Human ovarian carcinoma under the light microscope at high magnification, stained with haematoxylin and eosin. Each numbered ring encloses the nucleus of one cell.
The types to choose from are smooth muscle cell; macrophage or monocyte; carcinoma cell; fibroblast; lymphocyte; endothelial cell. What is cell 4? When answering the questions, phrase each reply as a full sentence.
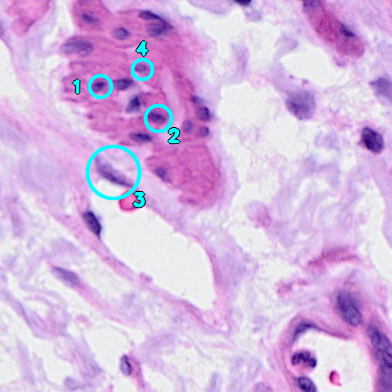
The cell marked with number 4 is a smooth muscle cell.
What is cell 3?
Number 3 among the marked cells is an endothelial cell.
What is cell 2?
Regarding cell 2, this one is a smooth muscle cell.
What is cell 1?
The cell numbered 1 represents a smooth muscle cell.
